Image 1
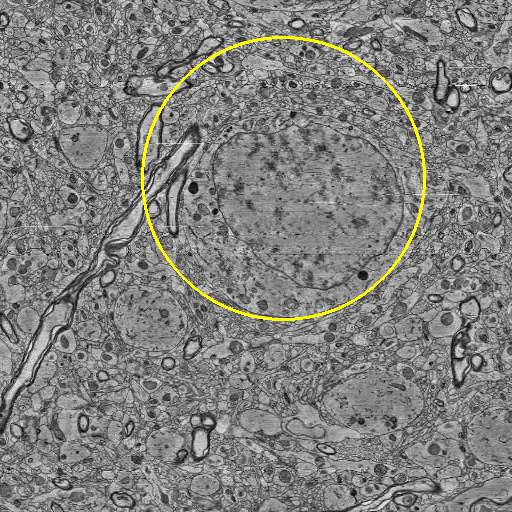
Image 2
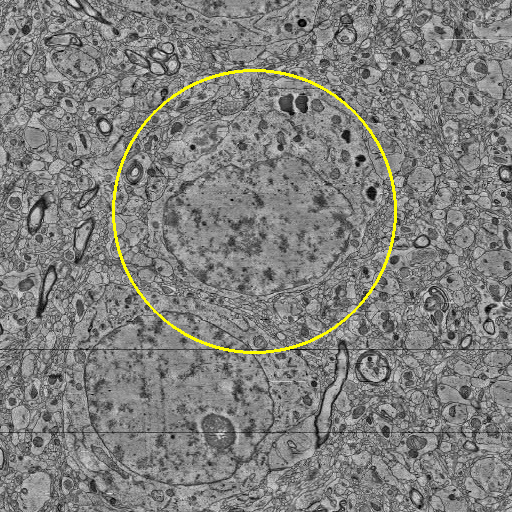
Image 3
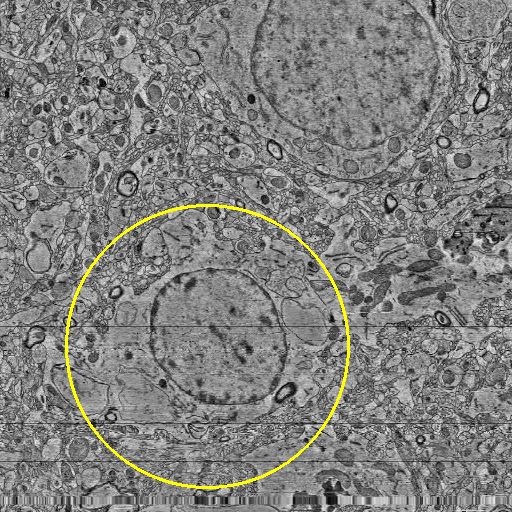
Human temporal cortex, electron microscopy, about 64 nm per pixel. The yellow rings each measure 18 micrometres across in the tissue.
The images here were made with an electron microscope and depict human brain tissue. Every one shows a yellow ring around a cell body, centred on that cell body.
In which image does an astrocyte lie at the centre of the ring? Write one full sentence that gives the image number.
My answer is image 3, where the asked-for cell sits at the centre of the ring.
